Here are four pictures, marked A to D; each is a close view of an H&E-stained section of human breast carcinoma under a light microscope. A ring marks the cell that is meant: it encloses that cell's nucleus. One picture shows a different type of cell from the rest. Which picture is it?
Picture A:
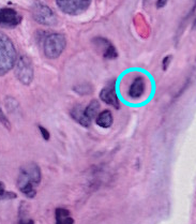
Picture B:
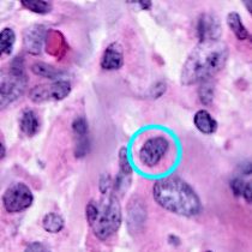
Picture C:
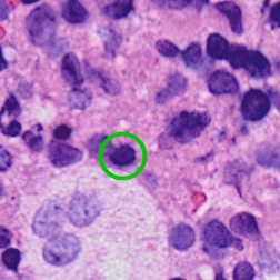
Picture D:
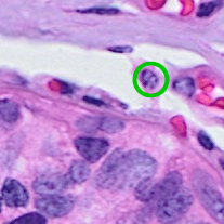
C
